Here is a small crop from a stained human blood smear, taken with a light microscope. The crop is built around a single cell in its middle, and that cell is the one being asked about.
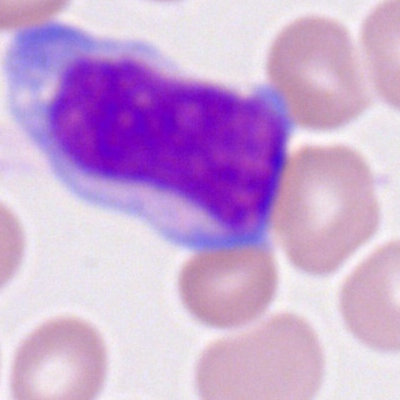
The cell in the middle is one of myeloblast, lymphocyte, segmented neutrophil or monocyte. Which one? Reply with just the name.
myeloblast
